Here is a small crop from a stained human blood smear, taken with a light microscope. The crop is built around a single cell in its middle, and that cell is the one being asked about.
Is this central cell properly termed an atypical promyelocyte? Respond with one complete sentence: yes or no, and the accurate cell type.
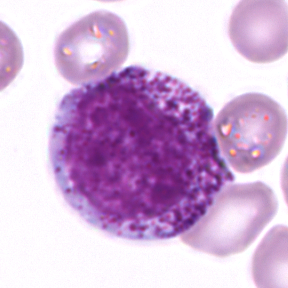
No, the label for the central cell is a myelocyte, not an atypical promyelocyte.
